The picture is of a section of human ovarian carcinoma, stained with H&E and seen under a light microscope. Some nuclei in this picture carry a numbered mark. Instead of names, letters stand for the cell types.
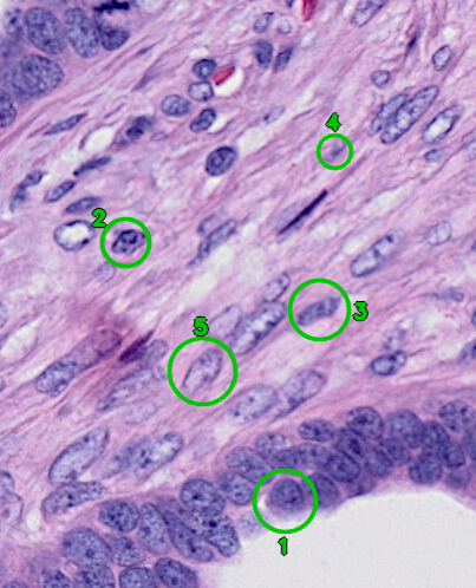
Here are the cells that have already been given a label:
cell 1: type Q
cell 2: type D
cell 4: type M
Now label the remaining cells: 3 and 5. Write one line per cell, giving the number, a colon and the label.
3: type M
5: type M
